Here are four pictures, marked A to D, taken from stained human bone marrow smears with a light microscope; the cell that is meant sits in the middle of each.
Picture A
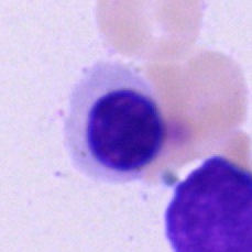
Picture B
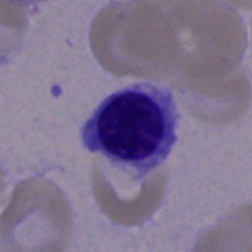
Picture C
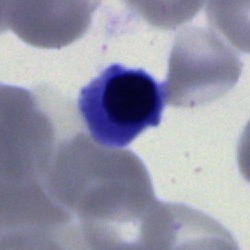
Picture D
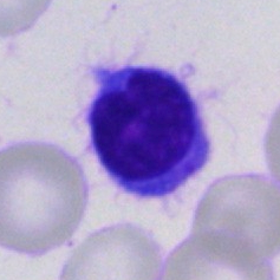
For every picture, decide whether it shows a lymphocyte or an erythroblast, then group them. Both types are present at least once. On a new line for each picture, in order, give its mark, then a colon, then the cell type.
A: erythroblast
B: erythroblast
C: erythroblast
D: lymphocyte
